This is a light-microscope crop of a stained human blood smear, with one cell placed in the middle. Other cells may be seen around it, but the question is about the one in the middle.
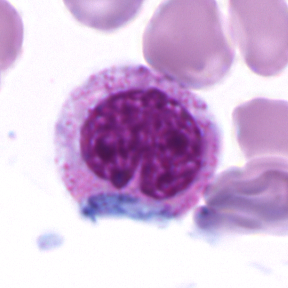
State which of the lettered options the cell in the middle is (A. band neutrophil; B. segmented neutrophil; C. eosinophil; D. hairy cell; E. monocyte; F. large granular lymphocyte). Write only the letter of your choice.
A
